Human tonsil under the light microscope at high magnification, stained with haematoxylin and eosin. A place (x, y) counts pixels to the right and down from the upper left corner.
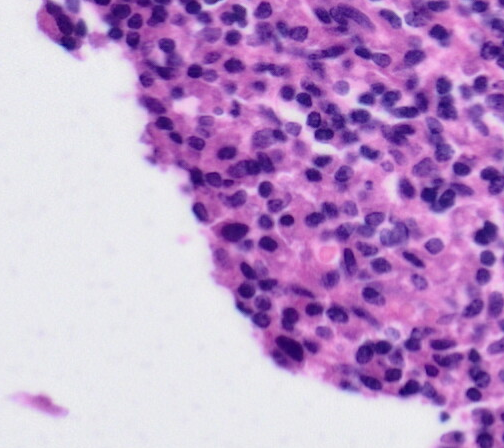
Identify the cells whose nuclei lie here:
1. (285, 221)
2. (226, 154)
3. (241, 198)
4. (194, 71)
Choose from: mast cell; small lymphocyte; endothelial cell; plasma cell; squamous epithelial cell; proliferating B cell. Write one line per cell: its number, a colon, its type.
1: plasma cell
2: plasma cell
3: squamous epithelial cell
4: plasma cell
